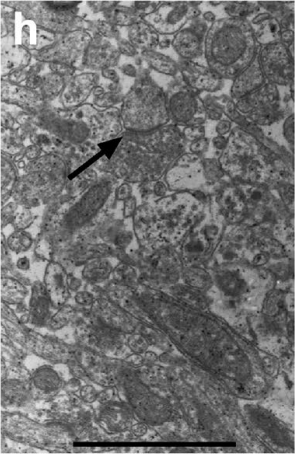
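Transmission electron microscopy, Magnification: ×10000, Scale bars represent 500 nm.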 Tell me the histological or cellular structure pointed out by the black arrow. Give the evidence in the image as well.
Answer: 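Postsynaptic density. The arrow points at a darker membrane stretch at the contact of two profiles. Many small membrane-bound profiles fill the field around it.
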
